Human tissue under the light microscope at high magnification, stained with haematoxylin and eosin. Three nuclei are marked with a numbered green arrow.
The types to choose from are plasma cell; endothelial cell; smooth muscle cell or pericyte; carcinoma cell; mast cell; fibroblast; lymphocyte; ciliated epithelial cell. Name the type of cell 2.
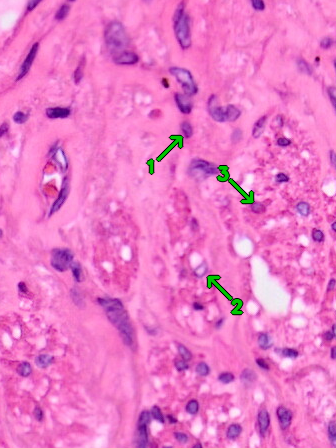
smooth muscle cell or pericyte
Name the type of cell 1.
mast cell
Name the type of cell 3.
smooth muscle cell or pericyte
